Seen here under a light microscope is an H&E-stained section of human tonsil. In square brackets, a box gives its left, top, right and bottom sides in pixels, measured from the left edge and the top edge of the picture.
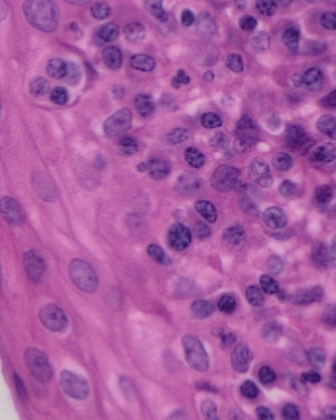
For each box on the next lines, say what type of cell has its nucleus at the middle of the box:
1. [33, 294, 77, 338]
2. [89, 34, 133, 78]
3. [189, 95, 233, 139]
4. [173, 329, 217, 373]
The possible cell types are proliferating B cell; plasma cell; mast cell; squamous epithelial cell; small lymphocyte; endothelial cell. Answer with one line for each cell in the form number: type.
1: squamous epithelial cell
2: plasma cell
3: plasma cell
4: squamous epithelial cell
